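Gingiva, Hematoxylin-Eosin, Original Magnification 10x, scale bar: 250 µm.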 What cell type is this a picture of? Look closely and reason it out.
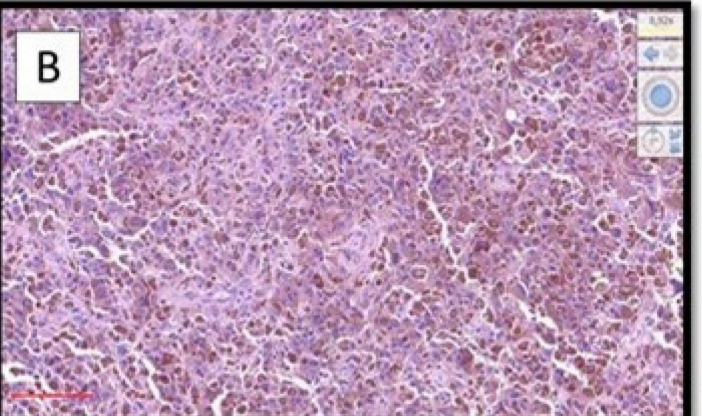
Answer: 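Melanocytic neoplastic cells. Many cells hold dark brown granular pigment in their cytoplasm. The cells lie in solid, densely packed sheets without glands or layering.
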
